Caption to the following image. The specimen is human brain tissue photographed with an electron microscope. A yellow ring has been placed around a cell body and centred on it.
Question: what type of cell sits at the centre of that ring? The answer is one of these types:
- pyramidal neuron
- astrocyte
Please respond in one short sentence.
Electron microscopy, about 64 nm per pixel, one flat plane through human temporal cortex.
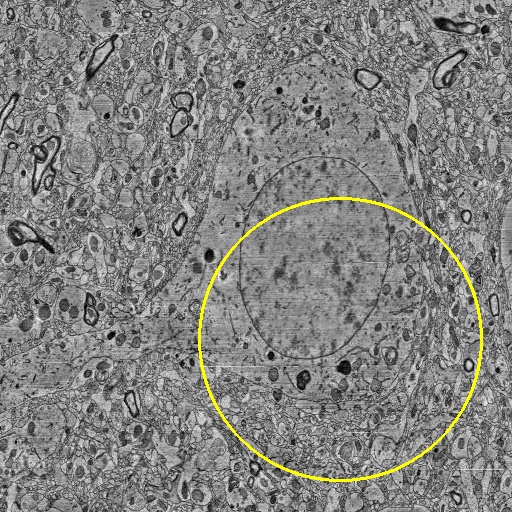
The ring surrounds the cell body of a pyramidal neuron.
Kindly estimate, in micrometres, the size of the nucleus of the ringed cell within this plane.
The nucleus appears roughly 14 by 10 micrometres in this plane.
